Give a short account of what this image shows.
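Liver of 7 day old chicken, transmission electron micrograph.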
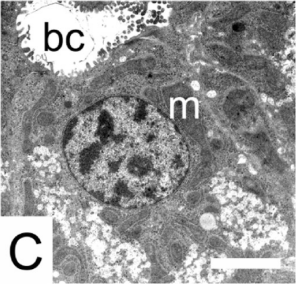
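A hepatocyte is shown with a round nucleus containing irregular clumps of dark chromatin. Numerous oval and elongated mitochondria are concentrated in the cytoplasm around the nucleus. A bile canaliculus appears as a pale lumen near the top edge, and pale, loosely granular areas occupy parts of the surrounding cytoplasm.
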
